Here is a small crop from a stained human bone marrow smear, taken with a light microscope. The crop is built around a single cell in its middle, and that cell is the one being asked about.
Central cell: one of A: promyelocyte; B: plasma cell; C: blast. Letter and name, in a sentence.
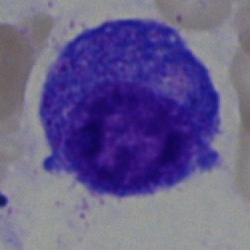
Option A is the right one, for the cell in the middle is a promyelocyte.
